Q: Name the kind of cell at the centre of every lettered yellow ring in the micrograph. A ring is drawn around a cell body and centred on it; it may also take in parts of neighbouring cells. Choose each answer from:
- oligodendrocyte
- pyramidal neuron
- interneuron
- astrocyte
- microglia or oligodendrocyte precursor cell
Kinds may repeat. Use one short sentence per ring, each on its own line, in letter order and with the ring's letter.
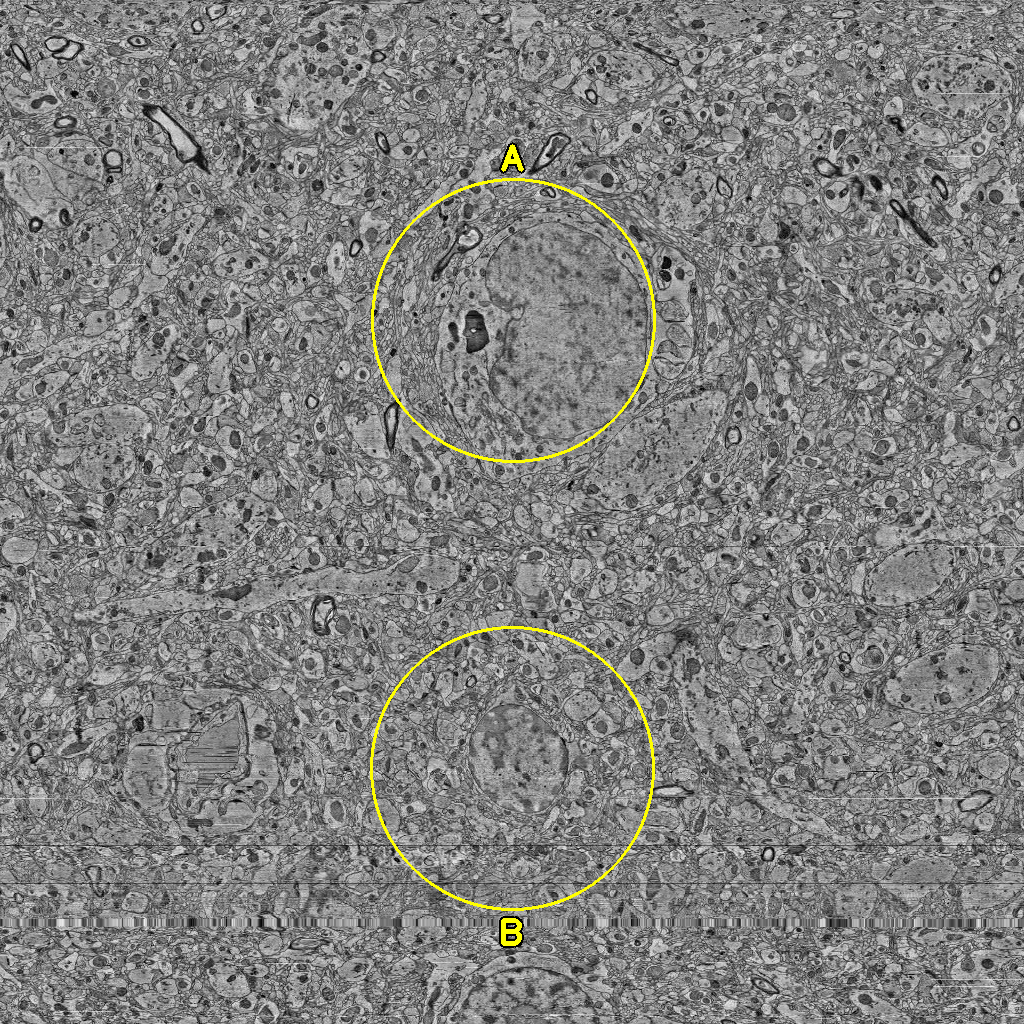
Ring A is placed around an interneuron.
Ring B is placed around a microglial cell or oligodendrocyte precursor cell.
